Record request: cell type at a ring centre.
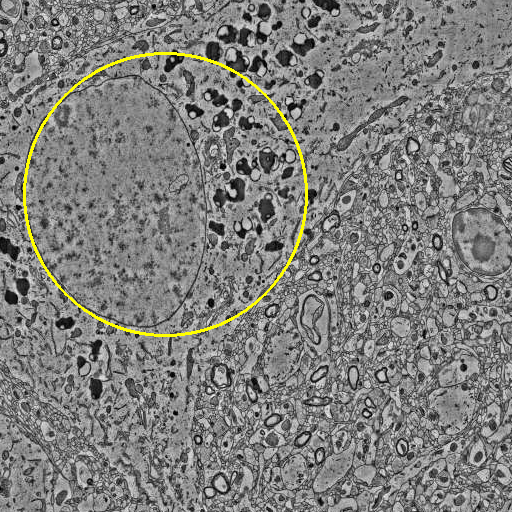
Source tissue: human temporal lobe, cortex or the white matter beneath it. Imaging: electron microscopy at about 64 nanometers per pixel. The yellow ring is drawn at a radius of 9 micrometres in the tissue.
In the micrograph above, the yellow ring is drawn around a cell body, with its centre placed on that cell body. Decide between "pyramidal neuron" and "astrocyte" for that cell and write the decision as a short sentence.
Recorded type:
The cell centred in the yellow ring is a pyramidal neuron.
